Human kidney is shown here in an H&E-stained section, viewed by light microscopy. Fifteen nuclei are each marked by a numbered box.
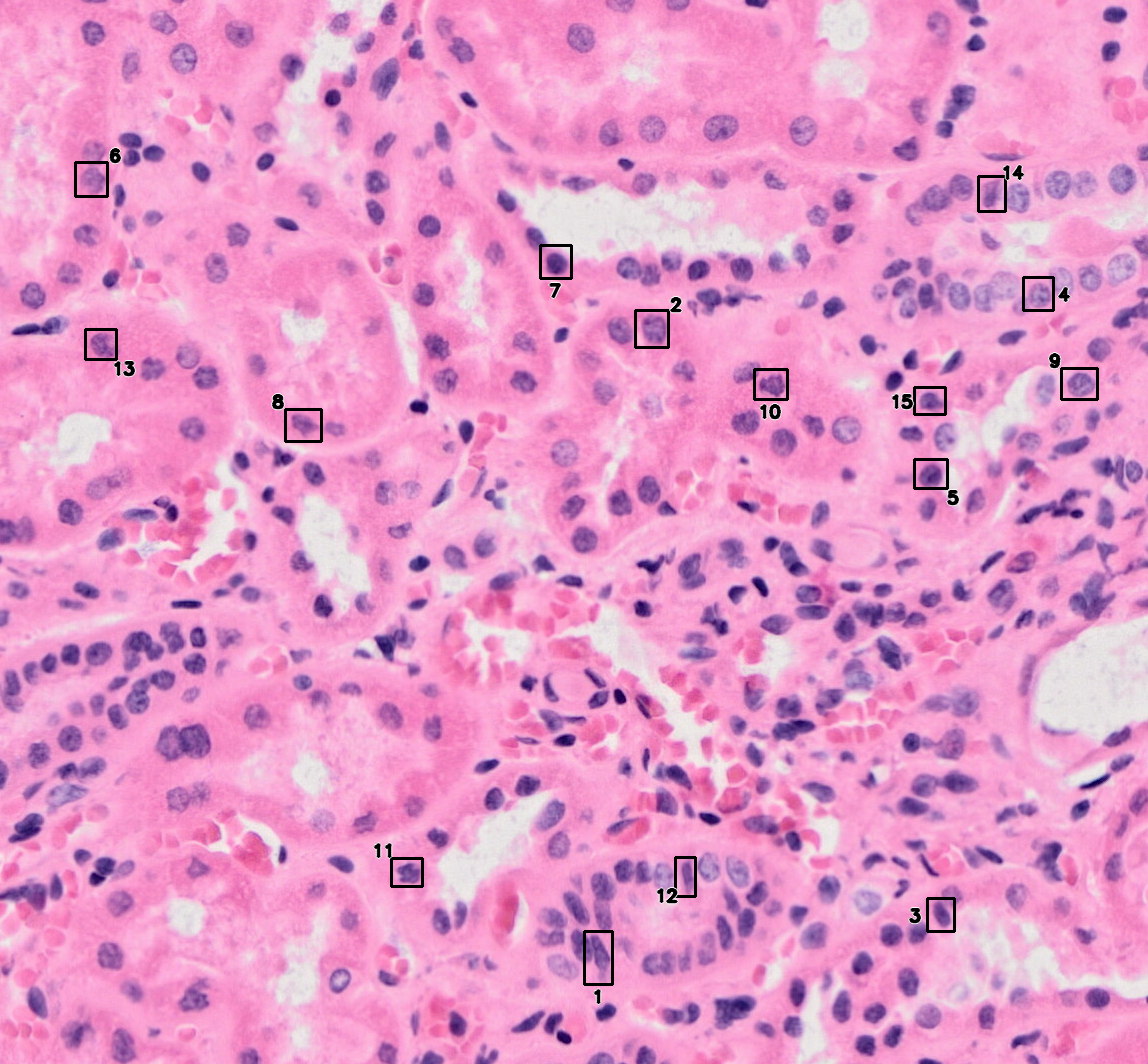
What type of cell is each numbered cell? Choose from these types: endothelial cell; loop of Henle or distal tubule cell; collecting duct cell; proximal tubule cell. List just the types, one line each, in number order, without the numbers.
collecting duct cell
proximal tubule cell
loop of Henle or distal tubule cell
collecting duct cell
loop of Henle or distal tubule cell
proximal tubule cell
loop of Henle or distal tubule cell
proximal tubule cell
loop of Henle or distal tubule cell
proximal tubule cell
loop of Henle or distal tubule cell
collecting duct cell
proximal tubule cell
collecting duct cell
loop of Henle or distal tubule cell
